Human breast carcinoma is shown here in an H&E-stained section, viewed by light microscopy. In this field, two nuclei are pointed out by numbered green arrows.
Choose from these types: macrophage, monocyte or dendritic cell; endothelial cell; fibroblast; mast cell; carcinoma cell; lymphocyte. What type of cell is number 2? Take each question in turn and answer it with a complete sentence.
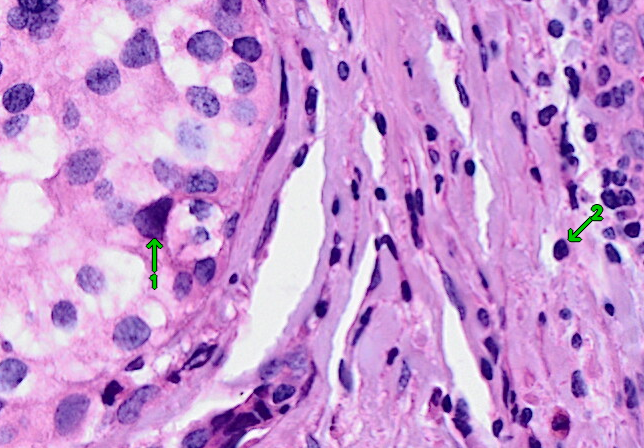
It is as a lymphocyte that the cell numbered 2 is identified.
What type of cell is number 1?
The cell to which the number 1 is assigned is a carcinoma cell.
